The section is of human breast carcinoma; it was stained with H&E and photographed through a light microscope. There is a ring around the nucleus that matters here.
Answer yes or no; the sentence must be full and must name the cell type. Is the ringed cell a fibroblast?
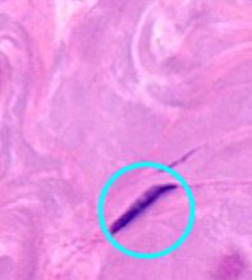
Yes, what the ringed cell represents in this tissue is a fibroblast.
